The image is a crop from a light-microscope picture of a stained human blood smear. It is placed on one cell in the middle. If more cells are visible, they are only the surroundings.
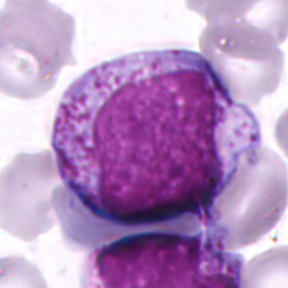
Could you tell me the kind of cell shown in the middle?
promyelocyte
